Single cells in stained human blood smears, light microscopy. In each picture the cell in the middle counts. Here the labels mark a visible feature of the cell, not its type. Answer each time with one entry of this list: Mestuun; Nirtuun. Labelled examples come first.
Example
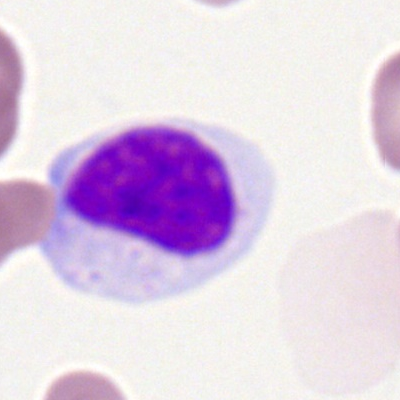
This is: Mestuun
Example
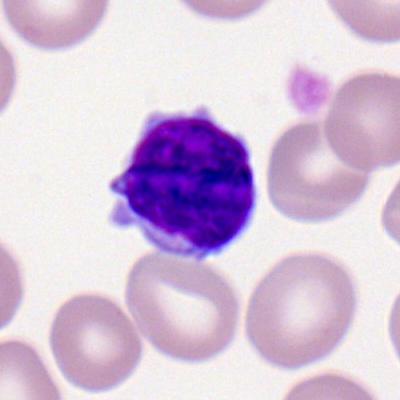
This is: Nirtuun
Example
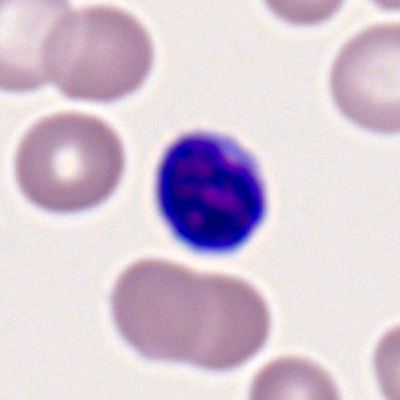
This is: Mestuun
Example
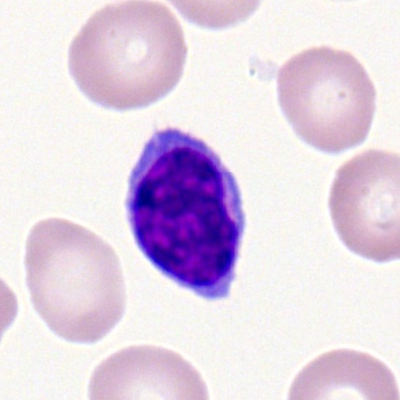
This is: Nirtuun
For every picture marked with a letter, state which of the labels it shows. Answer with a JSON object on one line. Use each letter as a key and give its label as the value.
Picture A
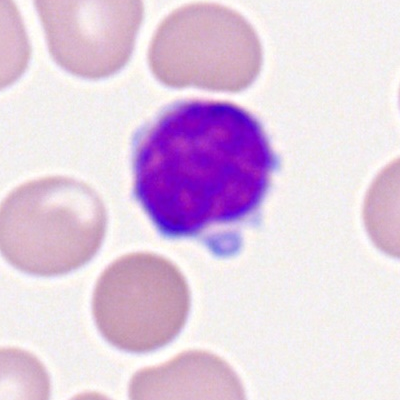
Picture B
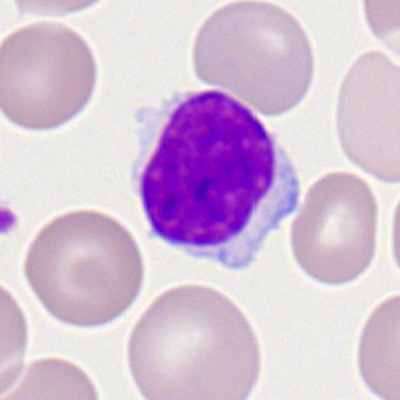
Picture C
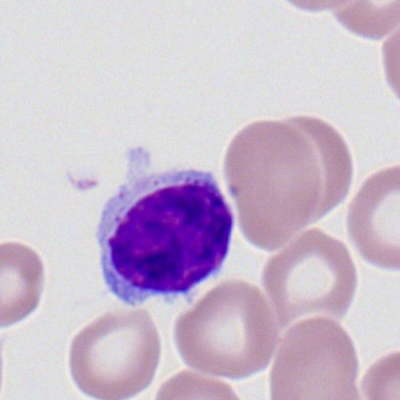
{"A": "Nirtuun", "B": "Nirtuun", "C": "Nirtuun"}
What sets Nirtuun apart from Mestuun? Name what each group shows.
Nirtuun: ragged outline or projections; Mestuun: smooth outline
